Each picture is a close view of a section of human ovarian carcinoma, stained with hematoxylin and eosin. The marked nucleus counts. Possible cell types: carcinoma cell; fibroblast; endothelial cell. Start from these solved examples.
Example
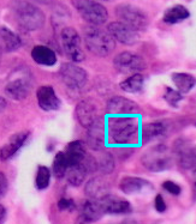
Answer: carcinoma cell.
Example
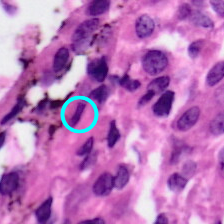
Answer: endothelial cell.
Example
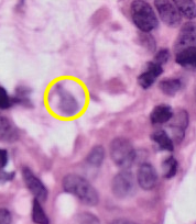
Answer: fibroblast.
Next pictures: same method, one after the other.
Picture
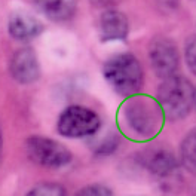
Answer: carcinoma cell.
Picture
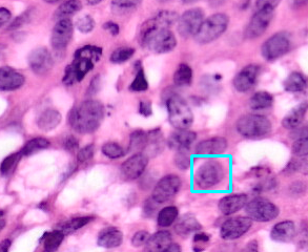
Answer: carcinoma cell.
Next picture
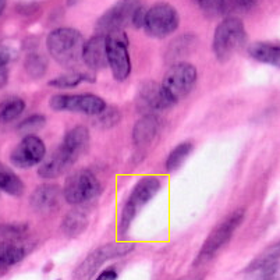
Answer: fibroblast.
